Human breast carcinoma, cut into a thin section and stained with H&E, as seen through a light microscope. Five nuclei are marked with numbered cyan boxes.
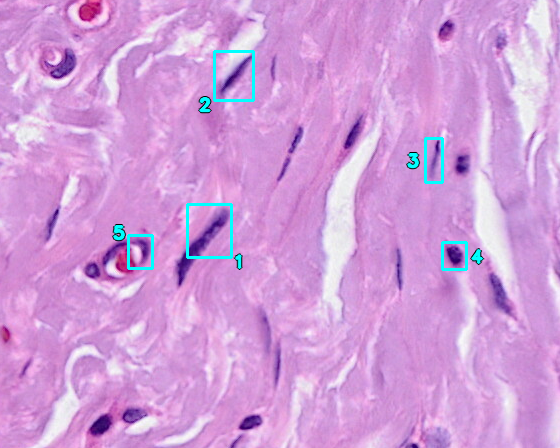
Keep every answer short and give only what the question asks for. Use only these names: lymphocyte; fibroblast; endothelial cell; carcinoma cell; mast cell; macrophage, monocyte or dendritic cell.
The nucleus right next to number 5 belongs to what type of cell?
endothelial cell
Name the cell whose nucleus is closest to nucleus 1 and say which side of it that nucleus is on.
a fibroblast, below and to the left of nucleus 1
